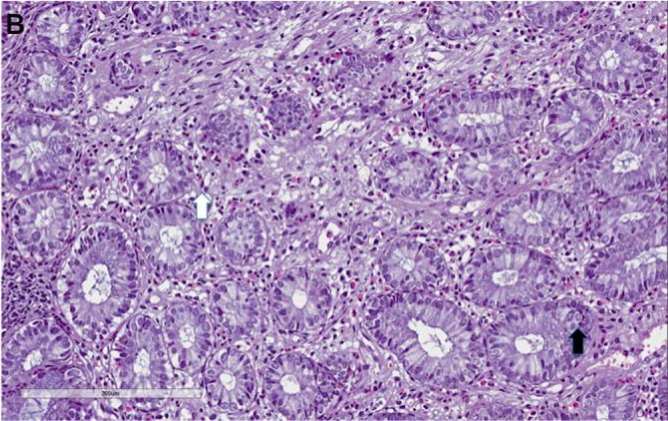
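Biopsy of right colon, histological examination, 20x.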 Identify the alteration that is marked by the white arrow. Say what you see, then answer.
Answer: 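The arrow points to a crypt whose epithelium and surroundings hold inflammatory cells. Cells with bright pink cytoplasm lie in the stroma around the crypts. So: cryptitis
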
